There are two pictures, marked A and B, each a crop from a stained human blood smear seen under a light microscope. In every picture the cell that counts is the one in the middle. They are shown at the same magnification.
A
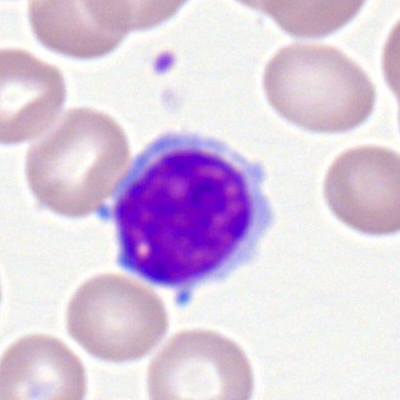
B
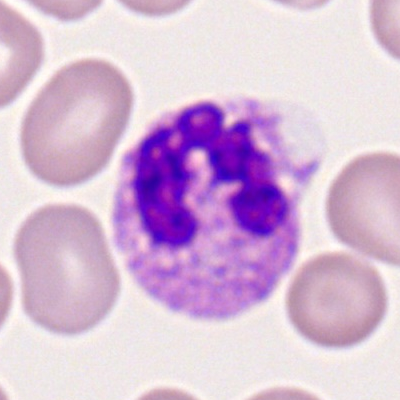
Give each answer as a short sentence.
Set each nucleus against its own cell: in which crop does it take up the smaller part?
In crop B the nucleus takes up the smaller part of its cell.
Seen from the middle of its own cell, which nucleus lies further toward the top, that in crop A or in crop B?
In crop B the nucleus is shifted more toward the top.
